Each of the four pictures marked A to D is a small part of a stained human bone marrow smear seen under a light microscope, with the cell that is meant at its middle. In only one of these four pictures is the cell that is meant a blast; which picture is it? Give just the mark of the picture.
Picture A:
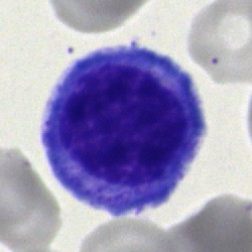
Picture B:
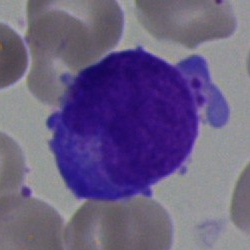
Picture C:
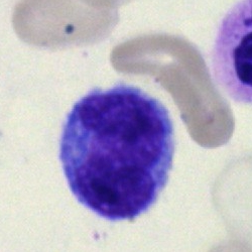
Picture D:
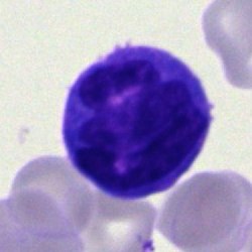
B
